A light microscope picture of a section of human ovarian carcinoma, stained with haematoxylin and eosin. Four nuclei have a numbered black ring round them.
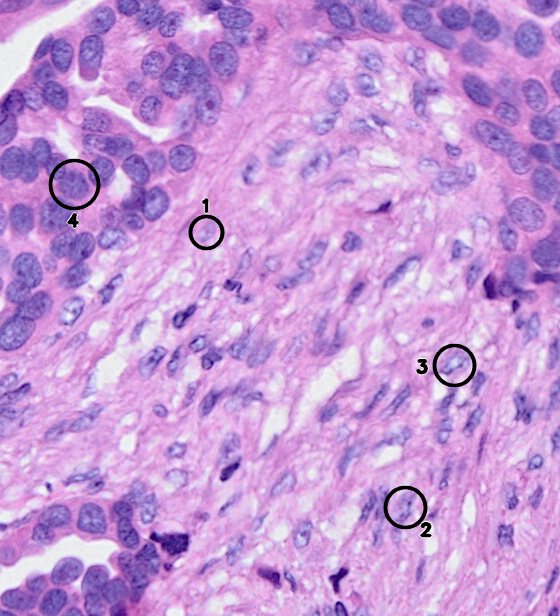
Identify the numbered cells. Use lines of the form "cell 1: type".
cell 1: fibroblast
cell 2: fibroblast
cell 3: fibroblast
cell 4: carcinoma cell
